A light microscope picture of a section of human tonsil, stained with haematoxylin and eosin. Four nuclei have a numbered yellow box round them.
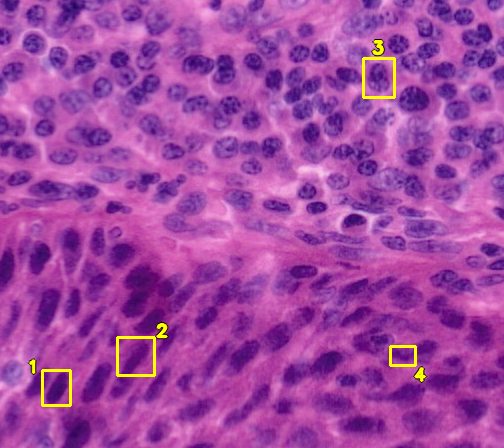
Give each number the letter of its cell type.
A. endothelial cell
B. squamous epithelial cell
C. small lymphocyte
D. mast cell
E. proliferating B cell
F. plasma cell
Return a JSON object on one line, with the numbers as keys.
{"1": "B", "2": "B", "3": "F", "4": "B"}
